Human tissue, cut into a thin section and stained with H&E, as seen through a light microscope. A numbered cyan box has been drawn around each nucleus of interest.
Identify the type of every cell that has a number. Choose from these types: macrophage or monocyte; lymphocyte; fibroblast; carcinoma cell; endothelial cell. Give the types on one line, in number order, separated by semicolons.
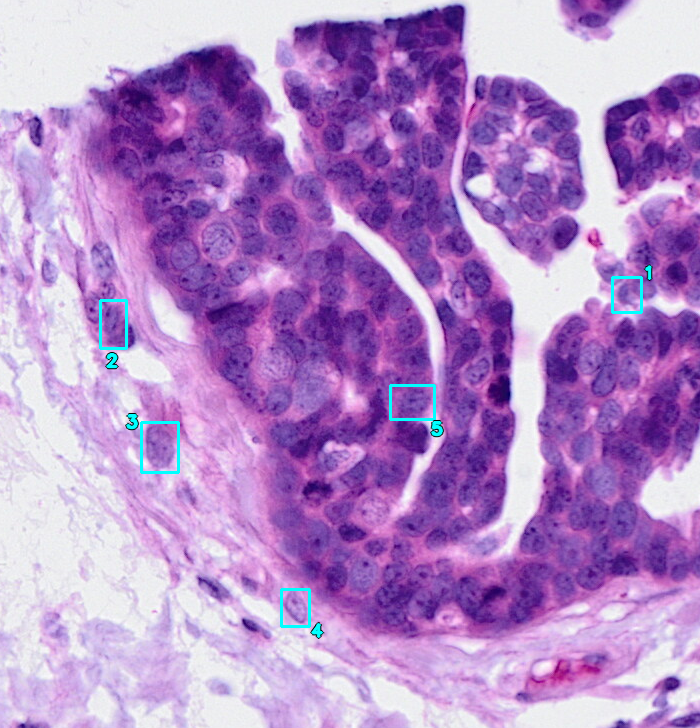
macrophage or monocyte; endothelial cell; fibroblast; fibroblast; carcinoma cell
